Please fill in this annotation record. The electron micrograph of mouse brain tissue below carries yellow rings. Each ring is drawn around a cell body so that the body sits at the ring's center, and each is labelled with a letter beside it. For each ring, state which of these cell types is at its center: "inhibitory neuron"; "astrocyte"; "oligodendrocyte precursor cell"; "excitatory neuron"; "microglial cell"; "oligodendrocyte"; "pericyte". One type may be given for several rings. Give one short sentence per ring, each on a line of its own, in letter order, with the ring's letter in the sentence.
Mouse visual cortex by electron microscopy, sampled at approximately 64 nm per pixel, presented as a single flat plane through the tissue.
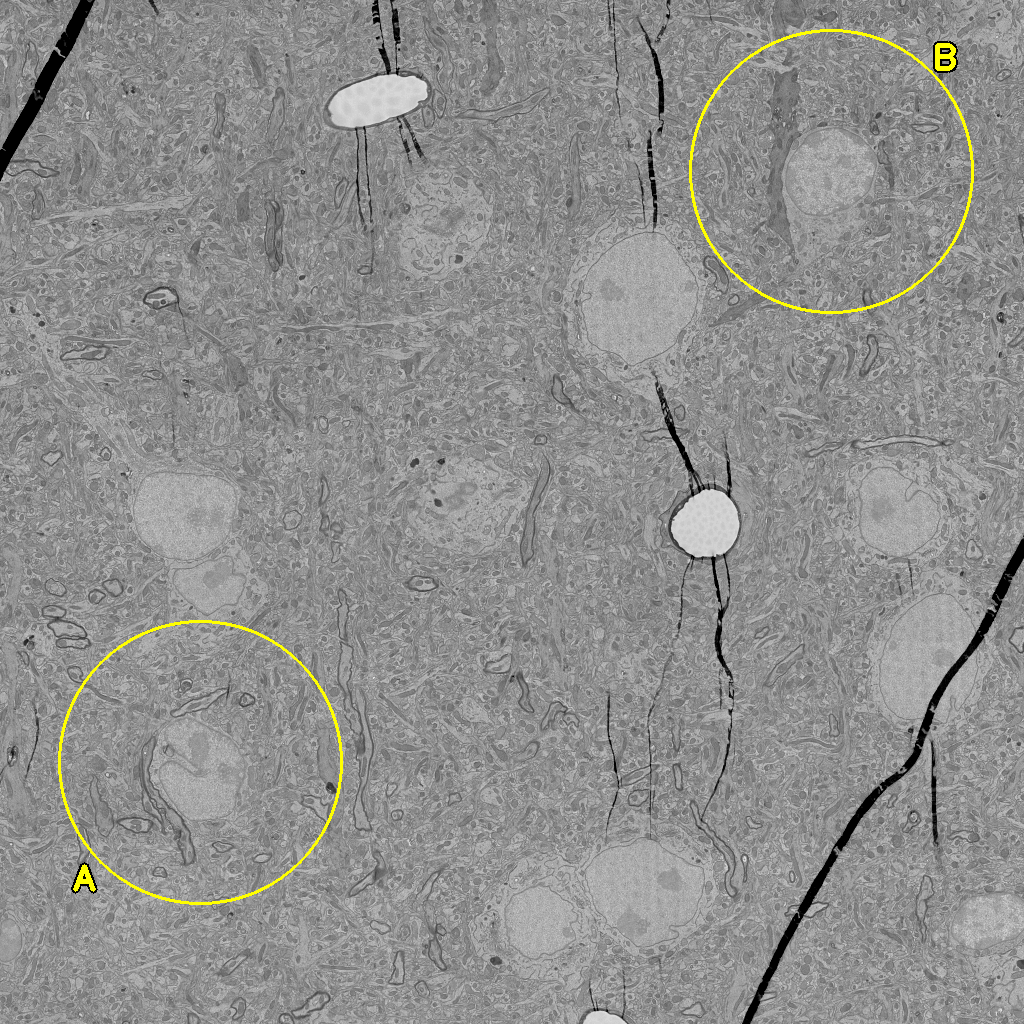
Ring A is drawn around an astrocyte.
Ring B is drawn around an oligodendrocyte.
